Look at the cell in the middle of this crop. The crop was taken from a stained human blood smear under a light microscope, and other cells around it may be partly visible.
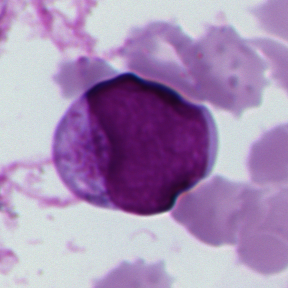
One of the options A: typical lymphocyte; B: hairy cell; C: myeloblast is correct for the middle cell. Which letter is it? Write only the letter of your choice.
C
